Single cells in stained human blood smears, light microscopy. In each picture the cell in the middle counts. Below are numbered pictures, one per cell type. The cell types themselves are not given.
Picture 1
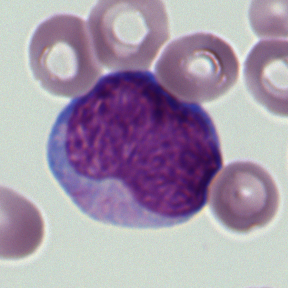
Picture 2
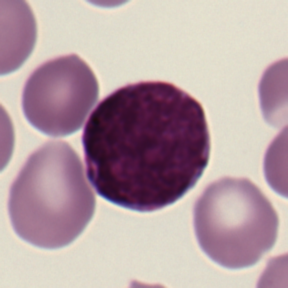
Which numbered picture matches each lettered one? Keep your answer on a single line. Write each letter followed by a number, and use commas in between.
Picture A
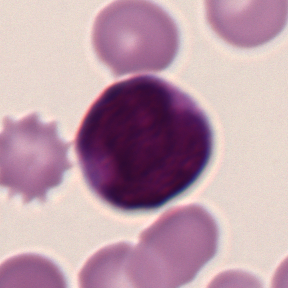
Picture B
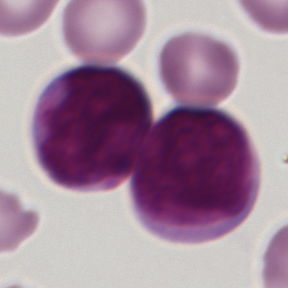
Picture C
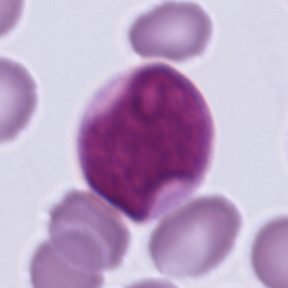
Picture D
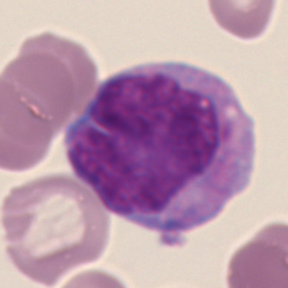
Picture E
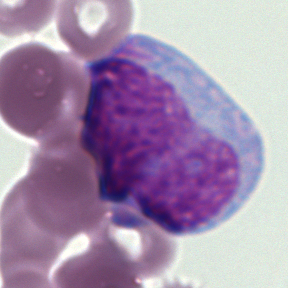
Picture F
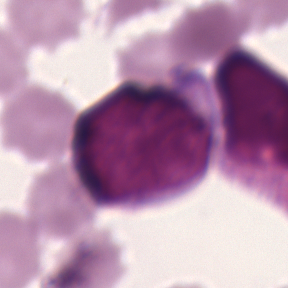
A 2, B 2, C 2, D 1, E 1, F 2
